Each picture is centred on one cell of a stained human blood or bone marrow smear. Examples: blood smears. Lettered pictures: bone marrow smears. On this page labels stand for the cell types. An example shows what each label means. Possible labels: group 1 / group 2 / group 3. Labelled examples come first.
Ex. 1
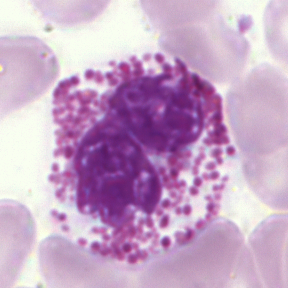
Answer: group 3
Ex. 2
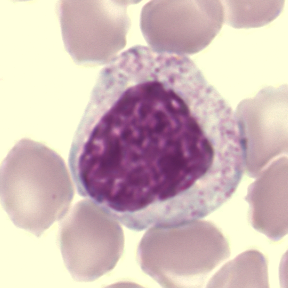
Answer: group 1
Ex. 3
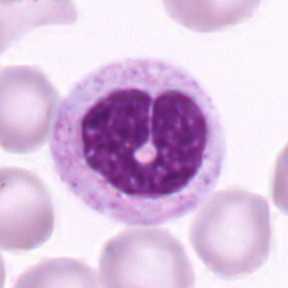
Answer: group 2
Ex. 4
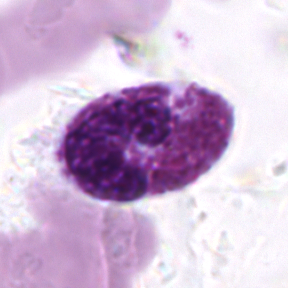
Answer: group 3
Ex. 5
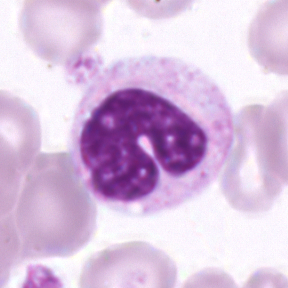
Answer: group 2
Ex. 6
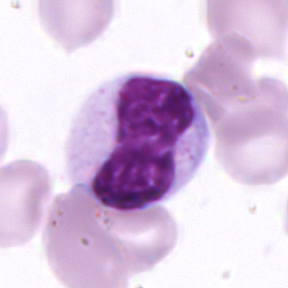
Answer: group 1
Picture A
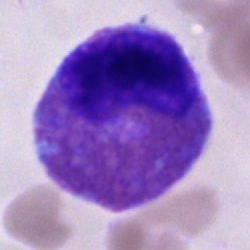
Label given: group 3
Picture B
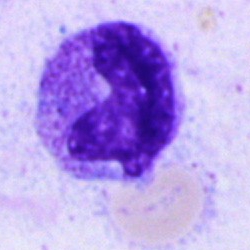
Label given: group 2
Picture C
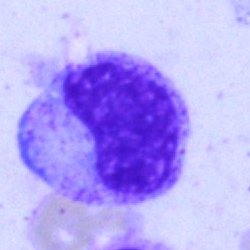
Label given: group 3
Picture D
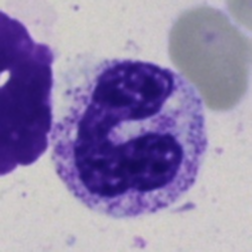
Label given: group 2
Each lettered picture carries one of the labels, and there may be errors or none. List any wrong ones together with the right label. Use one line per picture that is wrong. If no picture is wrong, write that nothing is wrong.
C is labelled group 3; correct label: group 1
